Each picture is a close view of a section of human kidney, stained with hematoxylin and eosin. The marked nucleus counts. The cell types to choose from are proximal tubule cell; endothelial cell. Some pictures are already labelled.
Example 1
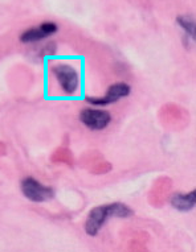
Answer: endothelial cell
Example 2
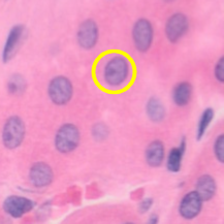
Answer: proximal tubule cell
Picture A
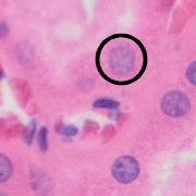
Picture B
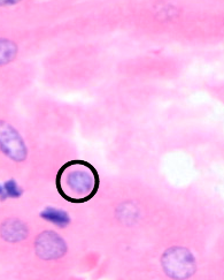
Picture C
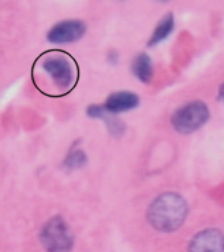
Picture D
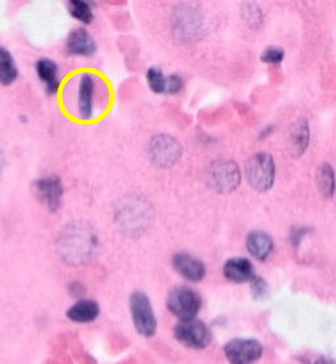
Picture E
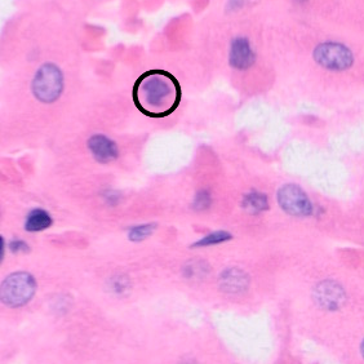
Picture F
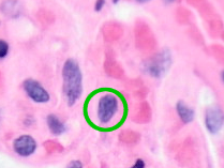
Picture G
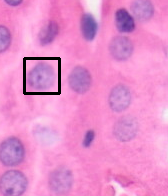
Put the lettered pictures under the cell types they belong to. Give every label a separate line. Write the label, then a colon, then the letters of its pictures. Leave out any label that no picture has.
proximal tubule cell: A, B, E, G
endothelial cell: C, D, F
